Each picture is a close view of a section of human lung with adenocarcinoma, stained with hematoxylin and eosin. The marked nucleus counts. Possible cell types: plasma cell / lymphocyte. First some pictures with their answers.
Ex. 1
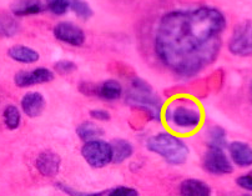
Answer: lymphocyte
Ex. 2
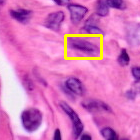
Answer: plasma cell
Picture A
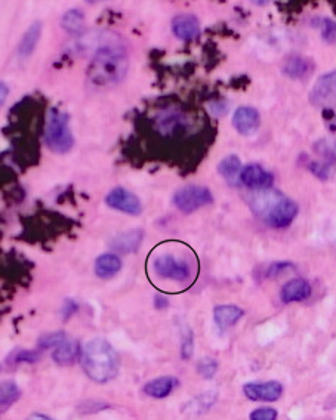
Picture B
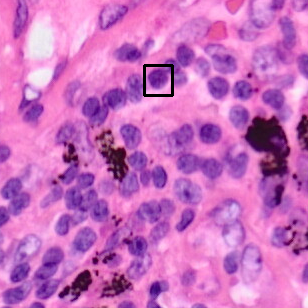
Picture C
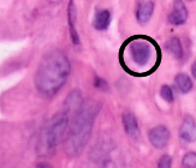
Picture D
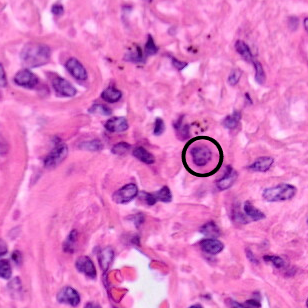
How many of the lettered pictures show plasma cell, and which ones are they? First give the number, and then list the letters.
2, namely A, D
